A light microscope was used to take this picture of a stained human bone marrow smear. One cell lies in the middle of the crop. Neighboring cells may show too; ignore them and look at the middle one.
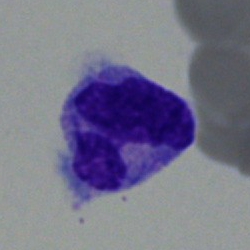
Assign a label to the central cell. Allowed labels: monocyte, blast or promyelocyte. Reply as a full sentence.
In the centre of this crop there is a monocyte.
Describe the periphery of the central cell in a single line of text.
This cell has an uneven outline, either ragged or bearing projections.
